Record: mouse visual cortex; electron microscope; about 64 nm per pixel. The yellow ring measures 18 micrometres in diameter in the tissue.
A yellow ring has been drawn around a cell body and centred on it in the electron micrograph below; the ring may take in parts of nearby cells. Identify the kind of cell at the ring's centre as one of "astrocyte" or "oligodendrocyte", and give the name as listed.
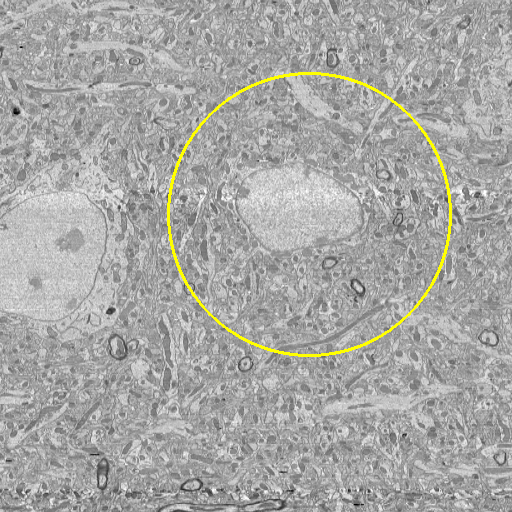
astrocyte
